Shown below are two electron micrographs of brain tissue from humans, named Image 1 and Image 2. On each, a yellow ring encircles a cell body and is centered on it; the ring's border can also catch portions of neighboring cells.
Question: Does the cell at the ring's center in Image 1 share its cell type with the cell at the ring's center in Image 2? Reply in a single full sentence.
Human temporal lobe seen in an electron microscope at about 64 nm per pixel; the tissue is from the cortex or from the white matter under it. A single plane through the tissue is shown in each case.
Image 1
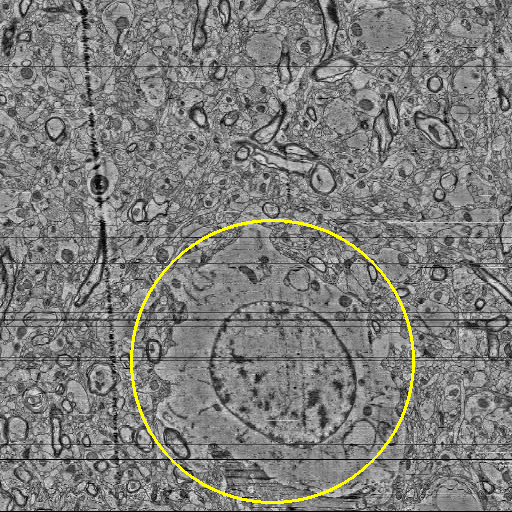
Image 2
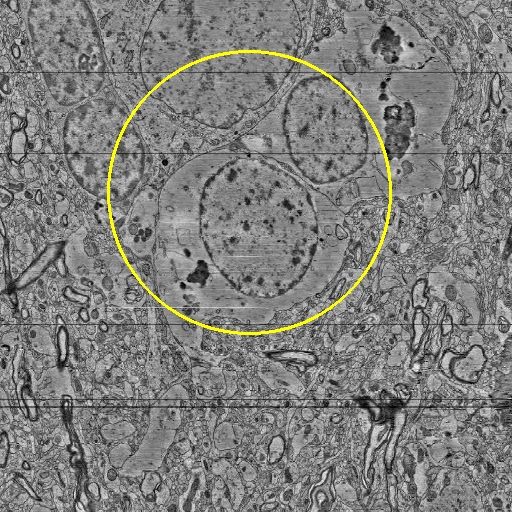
Yes, the two cells at the ring centers, in Image 1 and Image 2, share one cell type.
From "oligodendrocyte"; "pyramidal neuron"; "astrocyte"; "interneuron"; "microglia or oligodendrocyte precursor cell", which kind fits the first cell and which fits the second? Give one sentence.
Each of the two rings surrounds an astrocyte.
